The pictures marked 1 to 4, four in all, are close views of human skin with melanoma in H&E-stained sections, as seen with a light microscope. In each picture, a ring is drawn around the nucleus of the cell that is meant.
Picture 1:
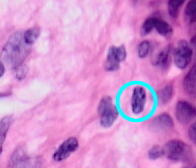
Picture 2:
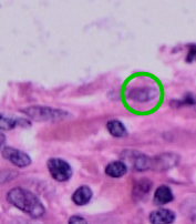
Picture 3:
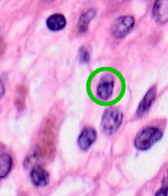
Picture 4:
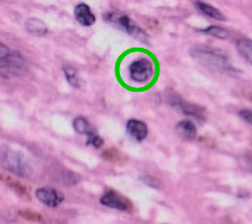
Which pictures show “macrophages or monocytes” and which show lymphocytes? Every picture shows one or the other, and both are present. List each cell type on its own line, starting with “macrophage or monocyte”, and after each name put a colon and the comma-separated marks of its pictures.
macrophage or monocyte: 2
lymphocyte: 1, 3, 4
